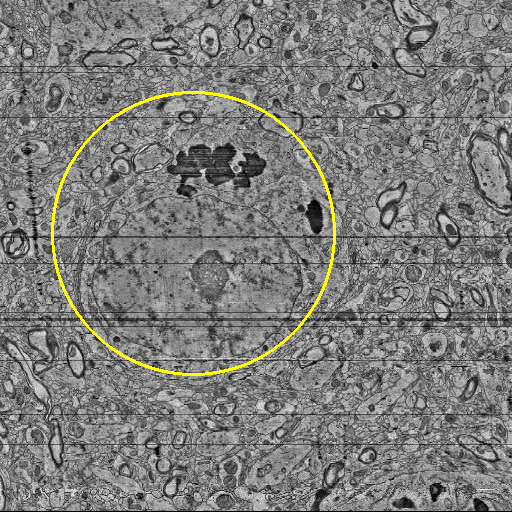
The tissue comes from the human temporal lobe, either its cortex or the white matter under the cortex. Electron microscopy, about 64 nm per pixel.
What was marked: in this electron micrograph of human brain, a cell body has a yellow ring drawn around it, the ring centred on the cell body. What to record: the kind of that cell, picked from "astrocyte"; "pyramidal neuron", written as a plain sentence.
The centred cell is a pyramidal neuron.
